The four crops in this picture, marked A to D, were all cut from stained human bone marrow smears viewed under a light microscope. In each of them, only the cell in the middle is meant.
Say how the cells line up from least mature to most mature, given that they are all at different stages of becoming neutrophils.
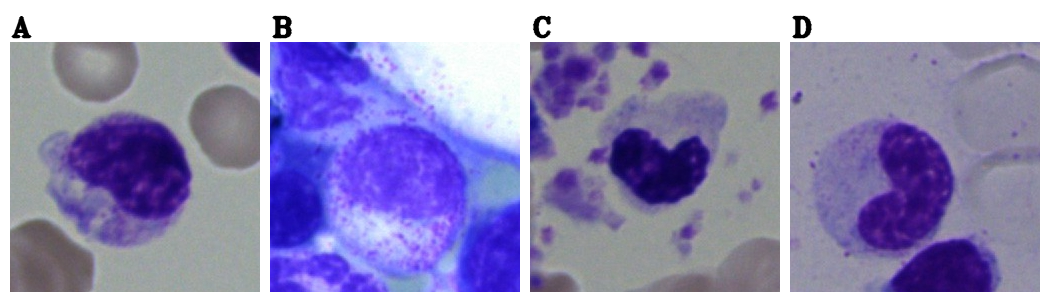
B, A, D, C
